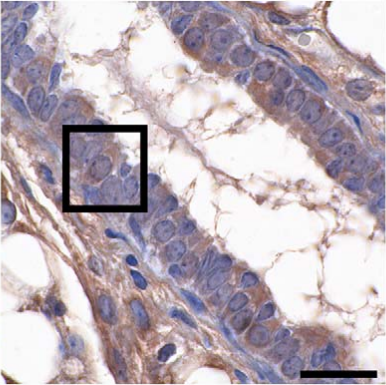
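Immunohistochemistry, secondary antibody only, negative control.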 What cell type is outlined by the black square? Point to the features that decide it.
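Duct epithelial cells. The black square encloses closely packed cells in a lining row. The cells have round to oval blue nuclei and brownish cytoplasm. The row borders a white lumen.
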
